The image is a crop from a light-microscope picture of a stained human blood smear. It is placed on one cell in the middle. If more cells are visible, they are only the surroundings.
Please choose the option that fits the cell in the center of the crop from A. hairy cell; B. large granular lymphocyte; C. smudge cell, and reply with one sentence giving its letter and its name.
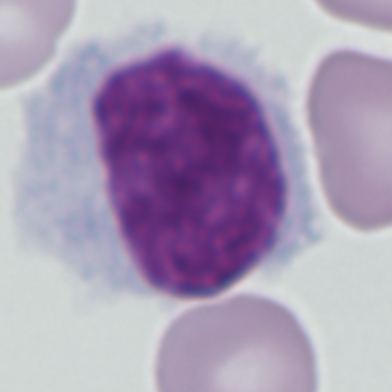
The cell centred in the crop is a hairy cell, and the correct option is thus A.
